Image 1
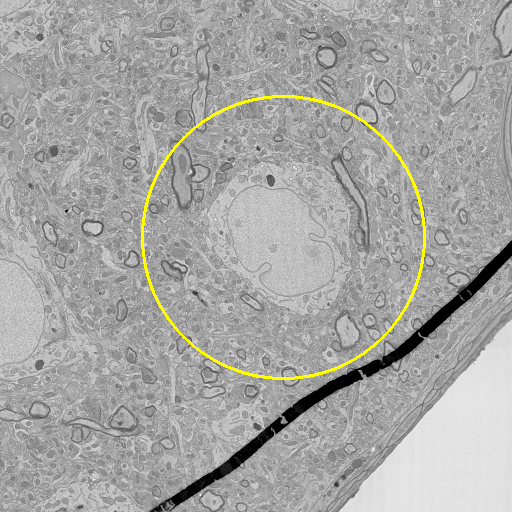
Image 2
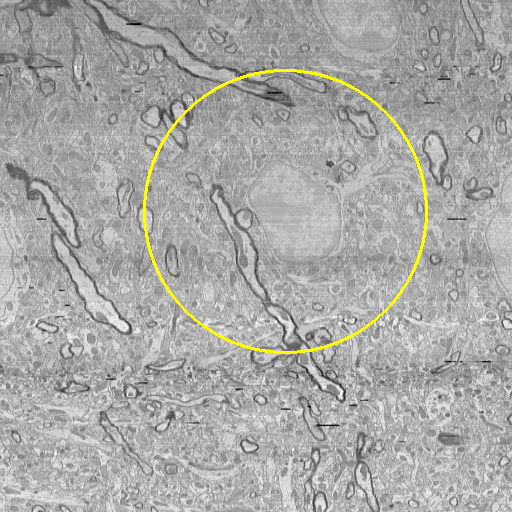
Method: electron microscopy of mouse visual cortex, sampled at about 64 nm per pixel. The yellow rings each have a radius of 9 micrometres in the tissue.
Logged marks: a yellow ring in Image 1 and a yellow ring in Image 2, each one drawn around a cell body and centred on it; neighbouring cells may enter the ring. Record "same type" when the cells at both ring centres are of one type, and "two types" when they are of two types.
two types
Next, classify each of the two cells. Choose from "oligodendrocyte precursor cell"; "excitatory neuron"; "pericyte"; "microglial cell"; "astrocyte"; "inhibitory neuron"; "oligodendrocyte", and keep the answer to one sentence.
In the first picture it is an excitatory neuron; in the second it is a microglial cell.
